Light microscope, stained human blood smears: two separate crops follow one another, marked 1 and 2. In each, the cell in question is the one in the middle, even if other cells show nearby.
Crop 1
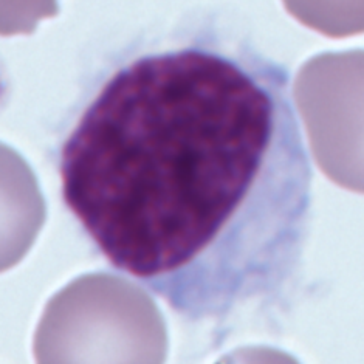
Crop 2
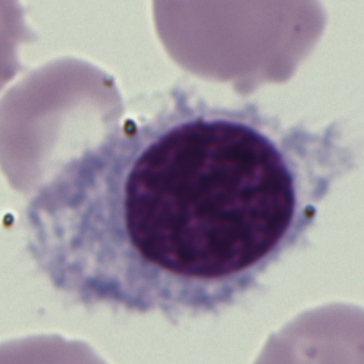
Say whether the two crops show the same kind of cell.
yes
